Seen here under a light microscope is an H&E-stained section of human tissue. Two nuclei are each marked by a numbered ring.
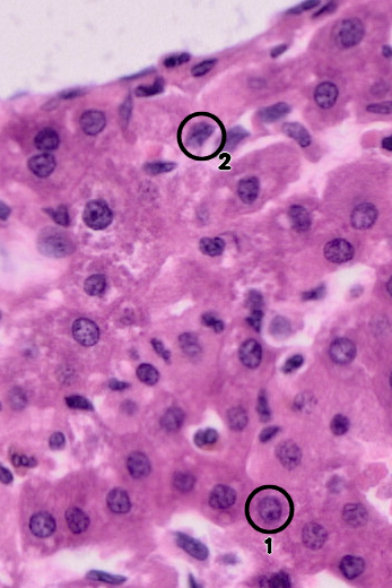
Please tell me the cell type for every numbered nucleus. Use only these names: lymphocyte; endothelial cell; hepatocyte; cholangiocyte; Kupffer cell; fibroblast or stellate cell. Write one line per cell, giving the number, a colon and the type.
1: hepatocyte
2: fibroblast or stellate cell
